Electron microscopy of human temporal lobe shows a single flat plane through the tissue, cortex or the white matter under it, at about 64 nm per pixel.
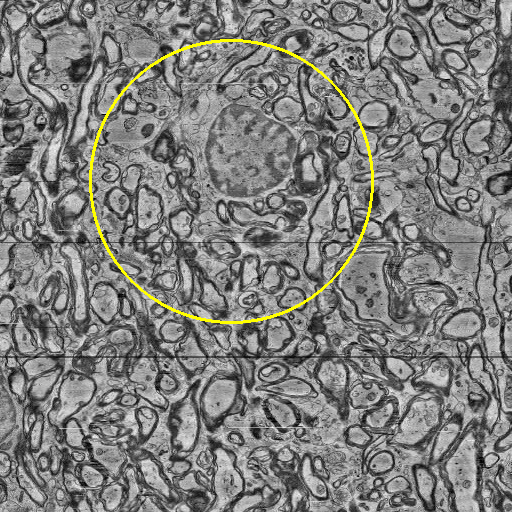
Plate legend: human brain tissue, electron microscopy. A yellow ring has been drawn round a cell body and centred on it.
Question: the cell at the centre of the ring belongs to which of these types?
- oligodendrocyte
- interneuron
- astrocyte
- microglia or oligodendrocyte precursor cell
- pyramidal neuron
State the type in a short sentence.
The cell in the middle of the ring is a microglial cell or oligodendrocyte precursor cell.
